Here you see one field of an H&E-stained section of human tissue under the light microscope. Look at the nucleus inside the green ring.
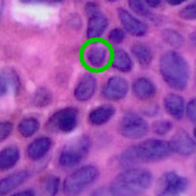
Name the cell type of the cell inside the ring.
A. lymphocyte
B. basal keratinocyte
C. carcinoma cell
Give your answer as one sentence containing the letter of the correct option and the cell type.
Here the cell inside the ring is a basal keratinocyte, which makes option B correct.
